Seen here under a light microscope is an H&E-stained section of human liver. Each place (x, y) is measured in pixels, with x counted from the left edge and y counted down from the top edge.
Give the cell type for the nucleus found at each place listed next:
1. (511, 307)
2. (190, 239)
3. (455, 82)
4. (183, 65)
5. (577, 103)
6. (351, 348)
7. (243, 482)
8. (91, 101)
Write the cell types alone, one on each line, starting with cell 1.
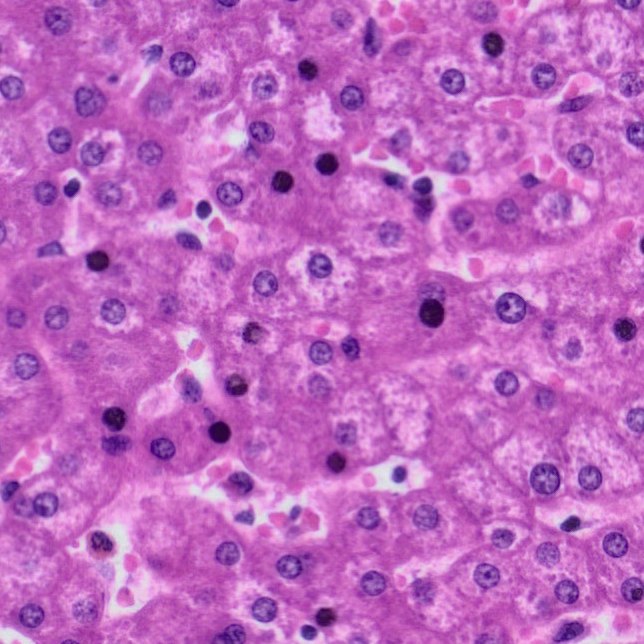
hepatocyte
endothelial cell
hepatocyte
hepatocyte
Kupffer cell
fibroblast or stellate cell
Kupffer cell
hepatocyte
